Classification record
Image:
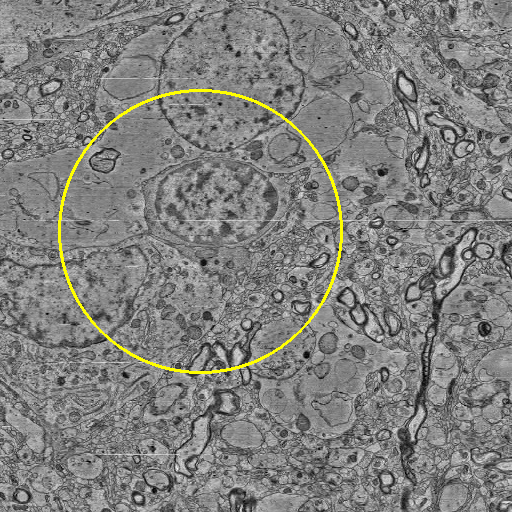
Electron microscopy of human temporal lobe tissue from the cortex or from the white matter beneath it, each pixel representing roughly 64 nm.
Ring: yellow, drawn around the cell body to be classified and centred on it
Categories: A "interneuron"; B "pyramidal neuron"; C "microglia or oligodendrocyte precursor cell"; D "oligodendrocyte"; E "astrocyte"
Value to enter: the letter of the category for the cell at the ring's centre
D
